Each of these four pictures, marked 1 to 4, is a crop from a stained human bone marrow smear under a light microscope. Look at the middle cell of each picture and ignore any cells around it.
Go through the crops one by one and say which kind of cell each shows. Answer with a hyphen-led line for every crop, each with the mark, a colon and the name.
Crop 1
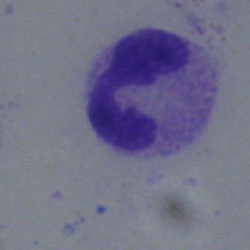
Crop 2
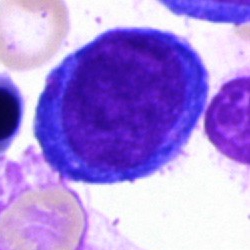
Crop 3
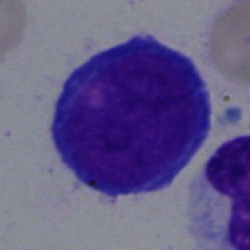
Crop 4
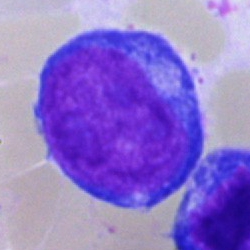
- 1: neutrophil
- 2: proerythroblast
- 3: proerythroblast
- 4: proerythroblast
